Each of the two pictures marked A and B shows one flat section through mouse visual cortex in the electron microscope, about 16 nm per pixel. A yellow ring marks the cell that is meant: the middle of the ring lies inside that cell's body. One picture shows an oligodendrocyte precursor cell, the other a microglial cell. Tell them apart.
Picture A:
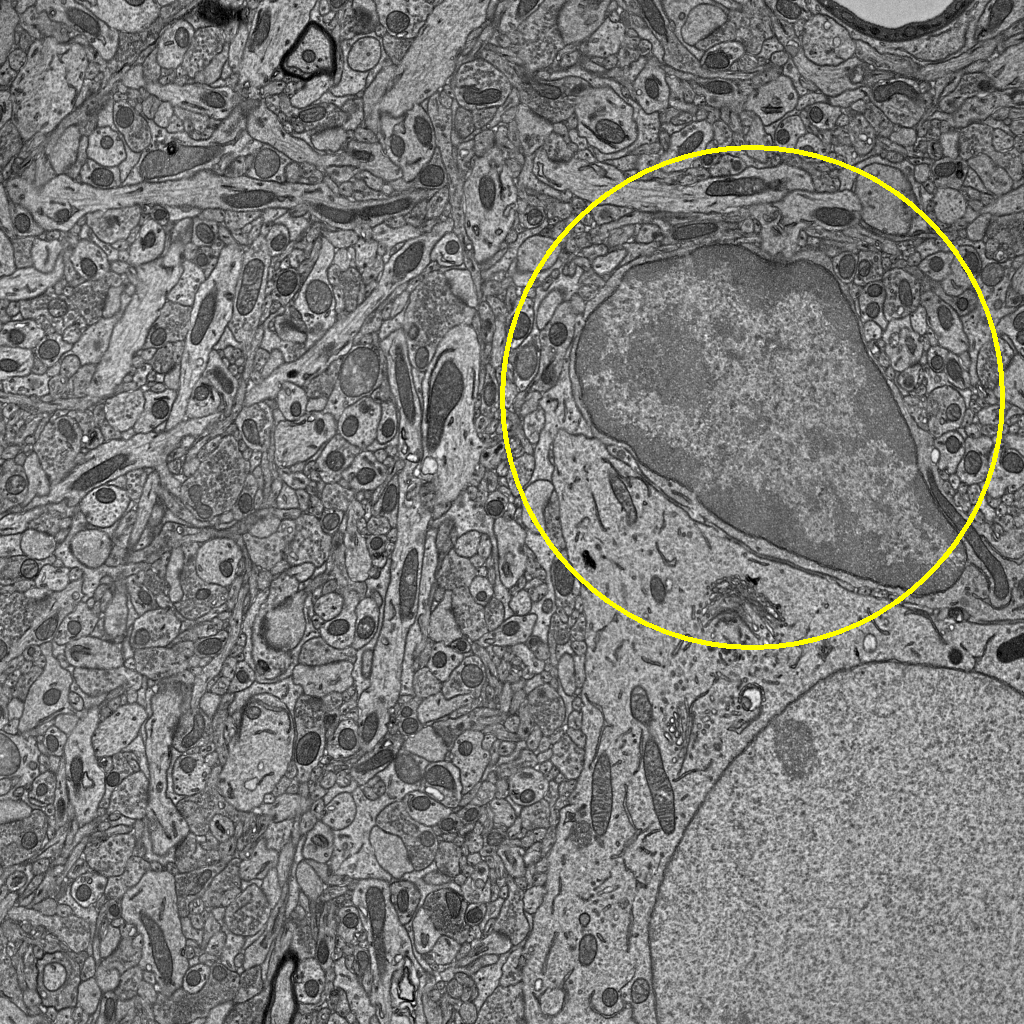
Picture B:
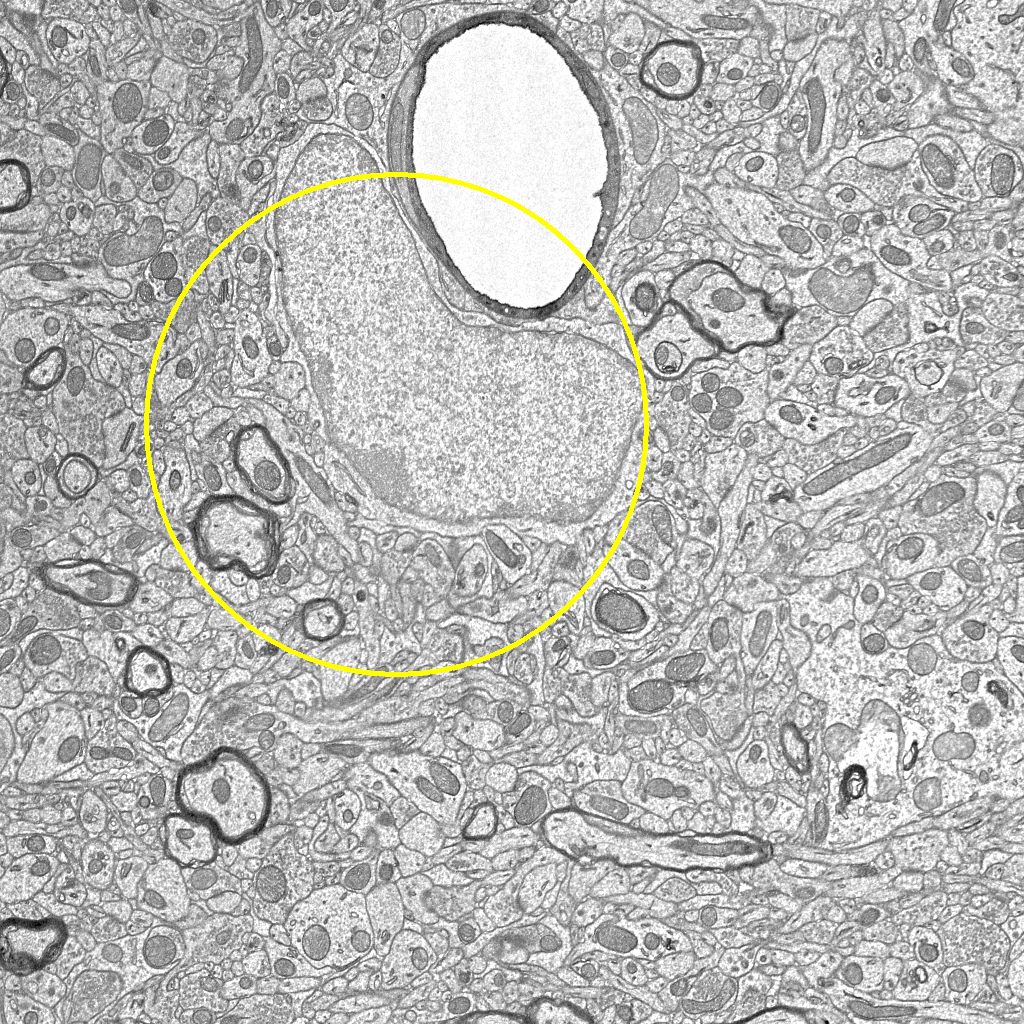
Picture B shows an oligodendrocyte precursor cell, while picture A shows a microglial cell.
